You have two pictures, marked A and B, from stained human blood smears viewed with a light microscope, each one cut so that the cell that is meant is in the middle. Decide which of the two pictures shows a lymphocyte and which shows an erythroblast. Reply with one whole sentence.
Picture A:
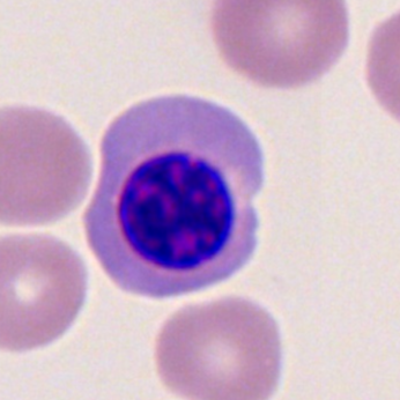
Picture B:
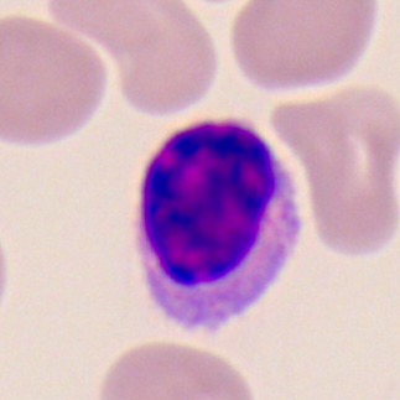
Picture B shows a lymphocyte, while picture A shows an erythroblast.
